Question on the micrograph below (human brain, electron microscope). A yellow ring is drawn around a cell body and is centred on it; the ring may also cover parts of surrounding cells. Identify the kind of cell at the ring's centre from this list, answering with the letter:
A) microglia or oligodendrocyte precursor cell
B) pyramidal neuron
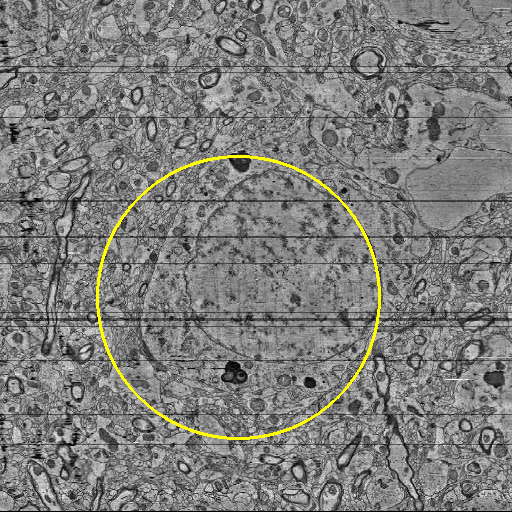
B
